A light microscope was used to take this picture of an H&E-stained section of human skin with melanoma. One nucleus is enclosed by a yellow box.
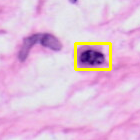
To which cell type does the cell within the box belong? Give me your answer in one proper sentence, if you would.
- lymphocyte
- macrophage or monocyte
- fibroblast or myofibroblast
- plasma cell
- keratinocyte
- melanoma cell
As to its cell type, the cell within the box is a plasma cell.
